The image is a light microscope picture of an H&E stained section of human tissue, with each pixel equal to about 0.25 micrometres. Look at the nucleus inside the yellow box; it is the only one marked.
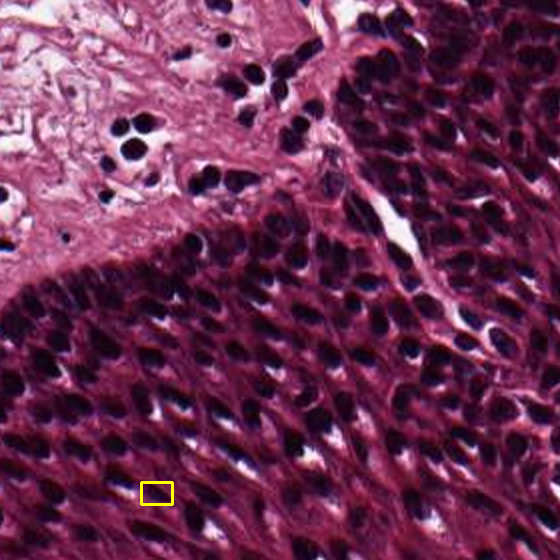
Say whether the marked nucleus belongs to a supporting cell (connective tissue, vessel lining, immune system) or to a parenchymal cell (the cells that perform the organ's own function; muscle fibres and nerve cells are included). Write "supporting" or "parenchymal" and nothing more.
parenchymal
